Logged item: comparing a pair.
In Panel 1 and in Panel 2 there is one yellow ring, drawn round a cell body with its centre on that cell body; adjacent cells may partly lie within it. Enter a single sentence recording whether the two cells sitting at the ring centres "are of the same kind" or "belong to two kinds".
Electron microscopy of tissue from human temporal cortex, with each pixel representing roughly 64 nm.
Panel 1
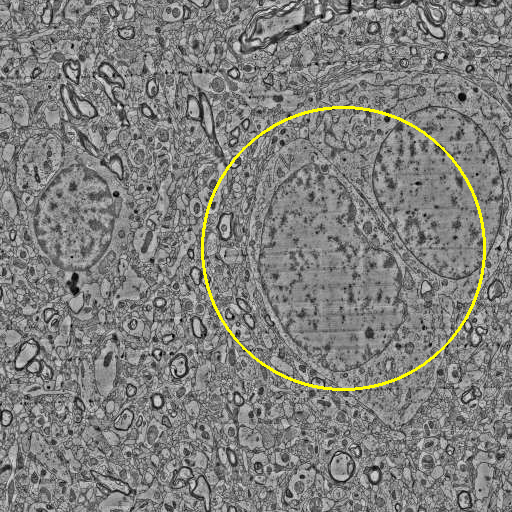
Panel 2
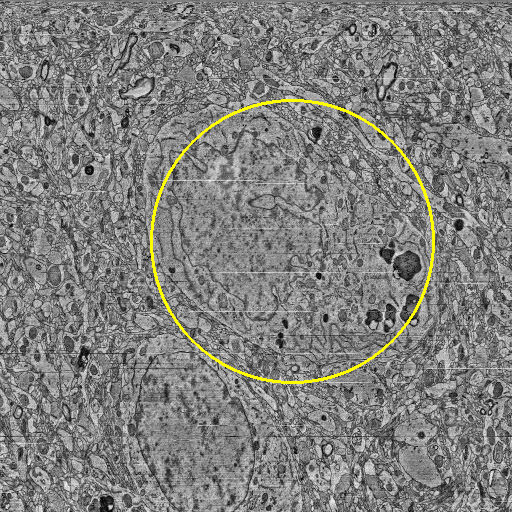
Logged: the cells centred in the rings of Panel 1 and Panel 2 are of the same kind.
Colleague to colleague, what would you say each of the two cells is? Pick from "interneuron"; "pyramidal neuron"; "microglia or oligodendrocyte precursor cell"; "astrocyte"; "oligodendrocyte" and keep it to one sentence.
Each cell at the centre of a ring is an interneuron.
